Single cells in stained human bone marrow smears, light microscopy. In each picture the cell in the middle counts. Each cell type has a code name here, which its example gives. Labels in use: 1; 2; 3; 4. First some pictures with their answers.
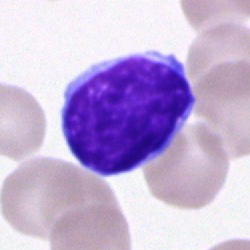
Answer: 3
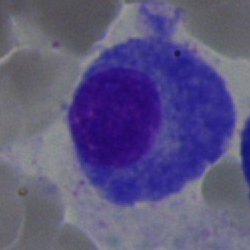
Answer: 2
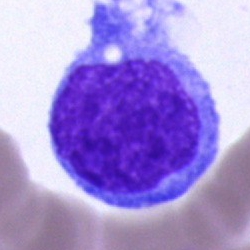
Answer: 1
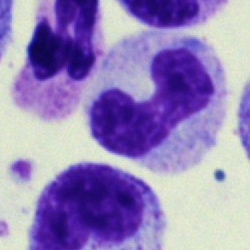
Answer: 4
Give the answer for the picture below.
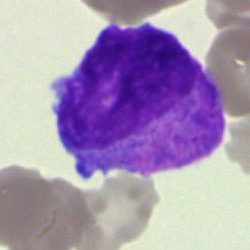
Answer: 1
